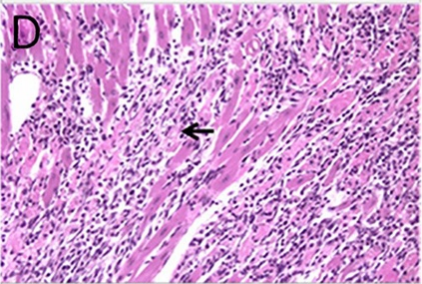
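This is heart muscle in which inflammation separates and surrounds the cardiomyofibers. The pink, elongated muscle fibers are spread apart by crowded small cells with dark purple nuclei that fill the spaces between them. Some of the fibers look thinned and fragmented among the infiltrating cells.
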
